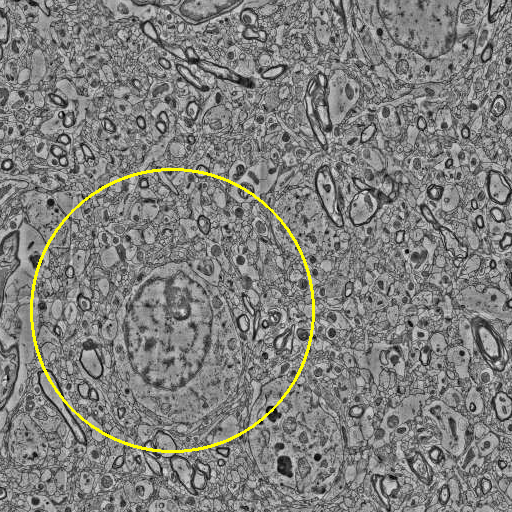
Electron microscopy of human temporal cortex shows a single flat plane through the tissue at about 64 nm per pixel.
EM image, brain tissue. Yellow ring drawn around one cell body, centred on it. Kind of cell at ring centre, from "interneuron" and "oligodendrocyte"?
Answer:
interneuron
